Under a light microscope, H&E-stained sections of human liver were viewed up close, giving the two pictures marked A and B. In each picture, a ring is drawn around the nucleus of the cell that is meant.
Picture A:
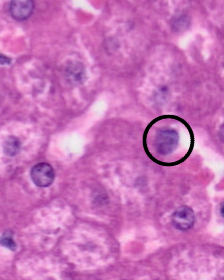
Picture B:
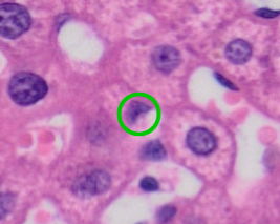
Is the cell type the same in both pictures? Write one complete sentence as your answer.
Yes, both cells are endothelial cells.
